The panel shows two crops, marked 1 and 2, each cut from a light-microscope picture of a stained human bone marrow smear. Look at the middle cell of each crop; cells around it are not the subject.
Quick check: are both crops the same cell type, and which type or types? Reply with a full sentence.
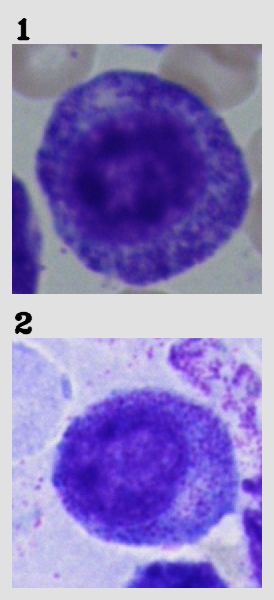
Yes, the cells in the centres of the two crops are promyelocytes.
